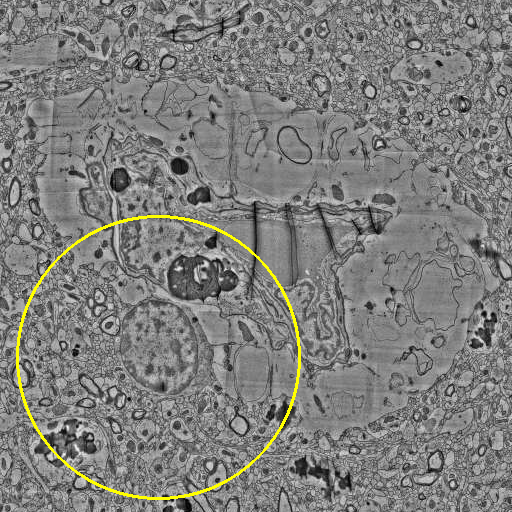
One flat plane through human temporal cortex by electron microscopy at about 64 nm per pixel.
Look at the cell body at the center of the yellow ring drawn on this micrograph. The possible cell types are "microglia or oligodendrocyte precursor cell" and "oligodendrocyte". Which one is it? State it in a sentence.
The cell in the middle of the ring is an oligodendrocyte.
